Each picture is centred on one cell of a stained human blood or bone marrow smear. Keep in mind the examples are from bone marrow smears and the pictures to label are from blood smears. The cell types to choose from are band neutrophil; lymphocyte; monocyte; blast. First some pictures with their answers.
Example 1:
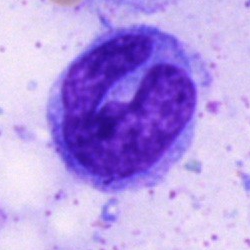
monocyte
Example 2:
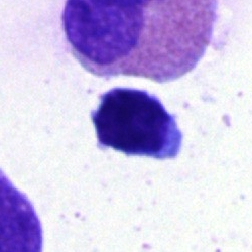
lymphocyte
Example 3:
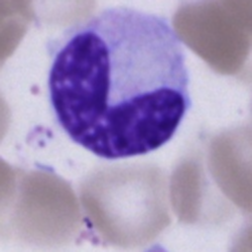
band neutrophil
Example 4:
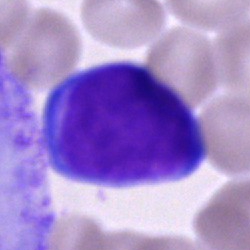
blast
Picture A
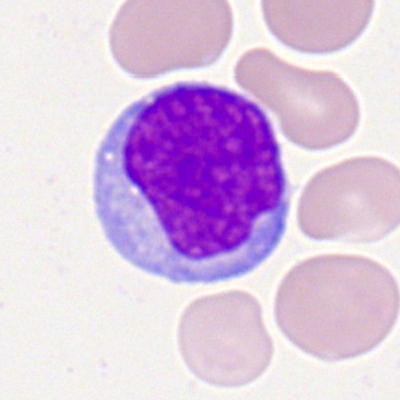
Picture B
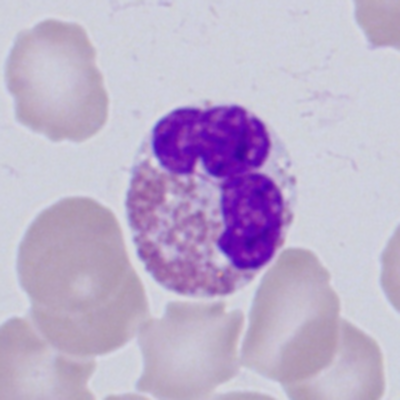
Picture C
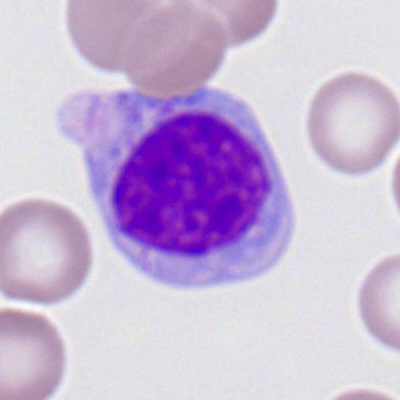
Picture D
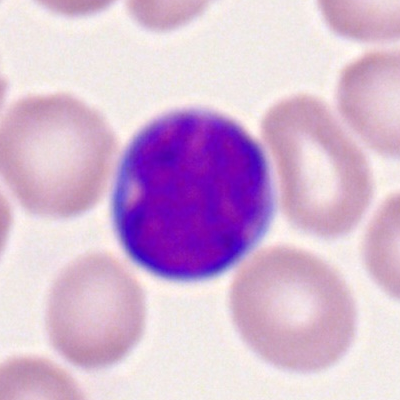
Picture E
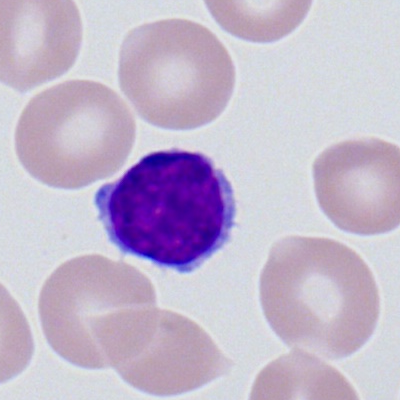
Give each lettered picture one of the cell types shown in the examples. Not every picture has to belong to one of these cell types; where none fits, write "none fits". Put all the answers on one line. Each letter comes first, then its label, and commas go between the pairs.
A lymphocyte, B none fits, C monocyte, D blast, E lymphocyte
